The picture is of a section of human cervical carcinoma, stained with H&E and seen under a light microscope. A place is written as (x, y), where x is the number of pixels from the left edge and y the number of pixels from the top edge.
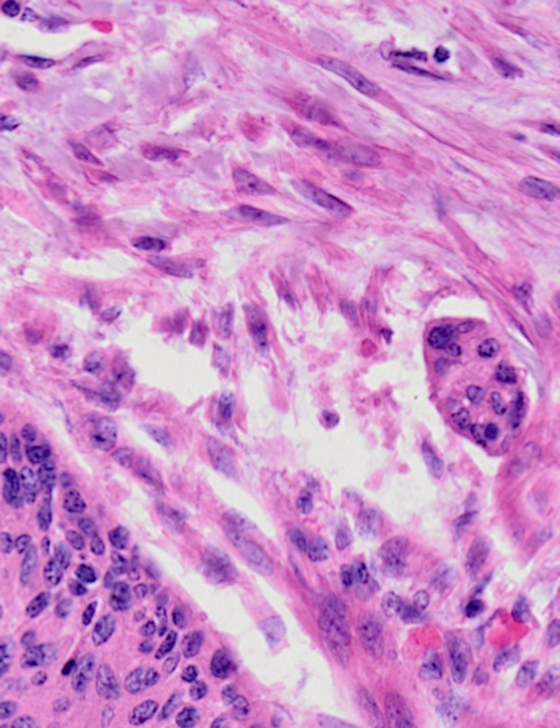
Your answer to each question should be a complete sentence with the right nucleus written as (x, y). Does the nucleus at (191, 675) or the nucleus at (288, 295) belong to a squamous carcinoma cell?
Of the two nuclei, the nucleus belonging to a squamous carcinoma cell is located at (191, 675).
